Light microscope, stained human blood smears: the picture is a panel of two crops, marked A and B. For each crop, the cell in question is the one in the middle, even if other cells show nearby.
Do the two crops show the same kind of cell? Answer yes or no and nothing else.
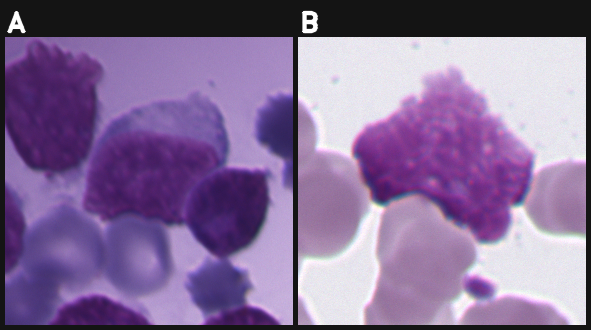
no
